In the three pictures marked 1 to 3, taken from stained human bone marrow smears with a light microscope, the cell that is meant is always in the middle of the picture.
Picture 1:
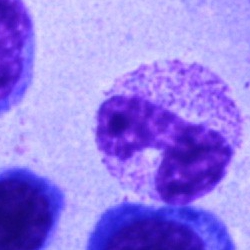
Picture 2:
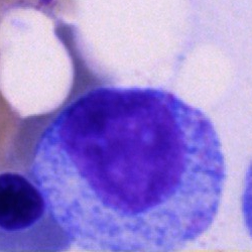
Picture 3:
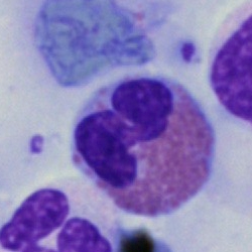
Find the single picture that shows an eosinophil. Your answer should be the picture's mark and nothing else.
3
